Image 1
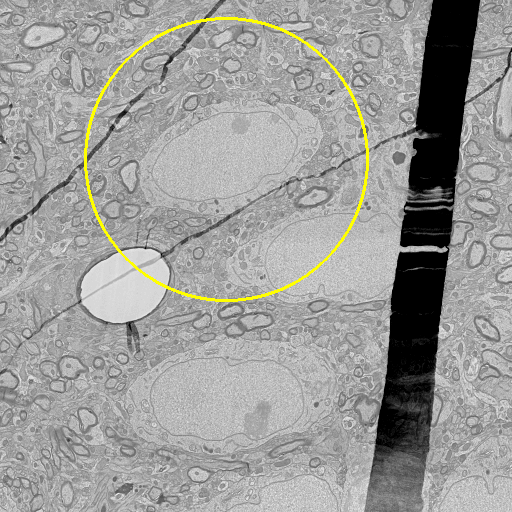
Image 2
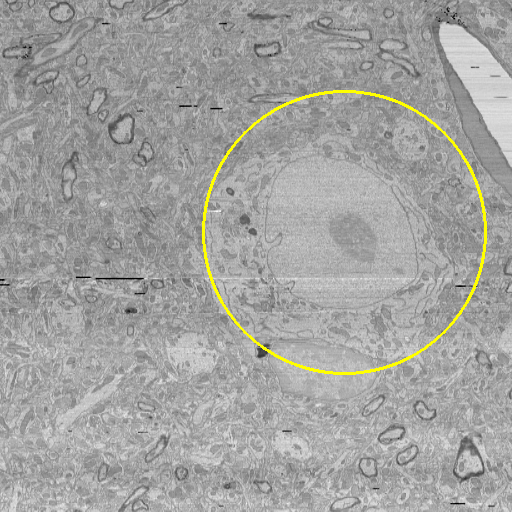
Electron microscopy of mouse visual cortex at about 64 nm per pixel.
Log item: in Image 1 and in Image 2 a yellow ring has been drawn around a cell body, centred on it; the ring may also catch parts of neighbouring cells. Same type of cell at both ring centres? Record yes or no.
yes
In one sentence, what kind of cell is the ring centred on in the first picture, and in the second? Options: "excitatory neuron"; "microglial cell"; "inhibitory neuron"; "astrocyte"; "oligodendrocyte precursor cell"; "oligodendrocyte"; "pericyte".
Each cell at the centre of a ring is an excitatory neuron.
